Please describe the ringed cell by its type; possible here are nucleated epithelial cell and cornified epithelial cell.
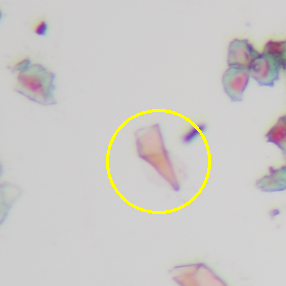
The yellow ring marks a cornified epithelial cell.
